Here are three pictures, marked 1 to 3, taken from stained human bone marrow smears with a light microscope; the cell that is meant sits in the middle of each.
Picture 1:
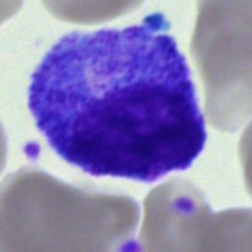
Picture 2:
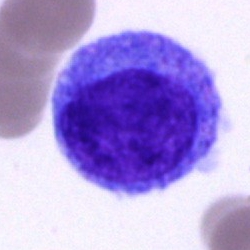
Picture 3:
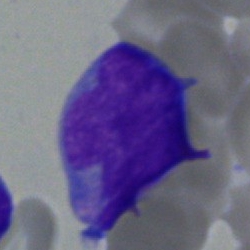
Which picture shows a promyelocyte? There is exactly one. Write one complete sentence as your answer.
The picture with the promyelocyte is 1.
